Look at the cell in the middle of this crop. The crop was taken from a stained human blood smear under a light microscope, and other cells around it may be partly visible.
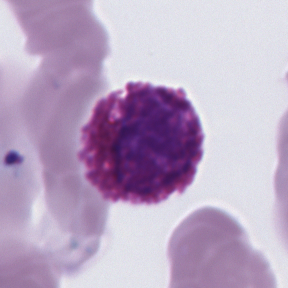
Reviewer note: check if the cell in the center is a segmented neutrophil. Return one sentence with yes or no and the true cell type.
No, not a segmented neutrophil here; the centered cell is an eosinophil.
